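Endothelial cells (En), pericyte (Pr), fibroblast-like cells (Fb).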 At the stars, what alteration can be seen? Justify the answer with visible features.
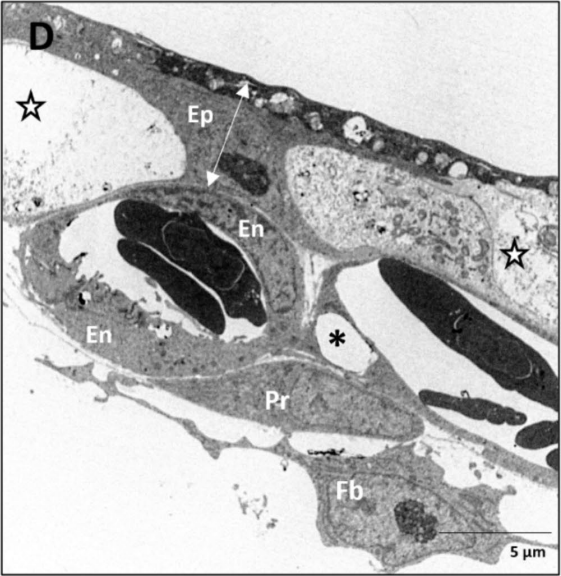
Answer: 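The regions marked by stars are large and pale compared with the darker surface layer. The pale regions lie within the surface layer above the capillaries. On this evidence: enlarged, electron-lucent.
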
